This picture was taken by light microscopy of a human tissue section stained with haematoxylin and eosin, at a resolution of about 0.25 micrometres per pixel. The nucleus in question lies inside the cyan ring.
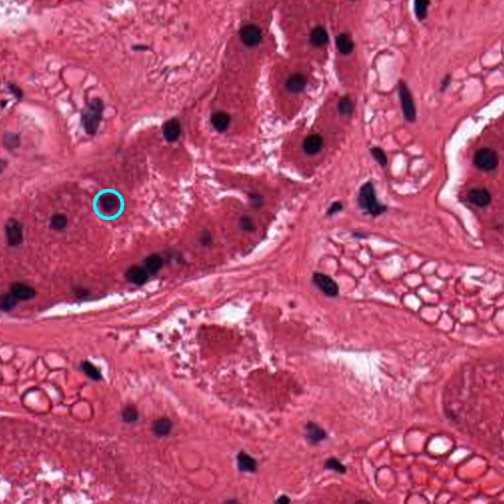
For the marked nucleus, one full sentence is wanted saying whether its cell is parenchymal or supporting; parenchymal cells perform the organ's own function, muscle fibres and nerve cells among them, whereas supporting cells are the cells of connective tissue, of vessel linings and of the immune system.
The marked nucleus is the nucleus of a parenchymal cell, namely a proximal tubule cell.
